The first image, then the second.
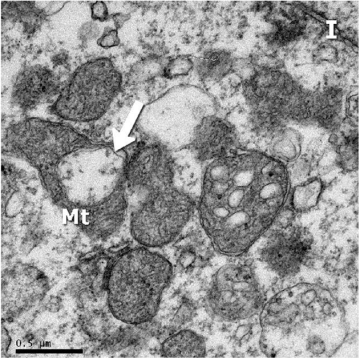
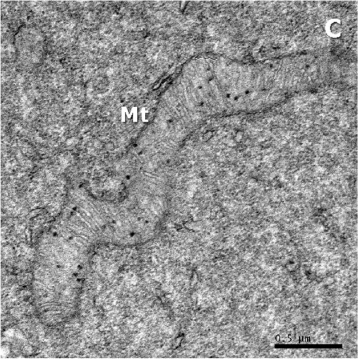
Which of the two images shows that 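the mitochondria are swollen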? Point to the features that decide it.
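First image: mitochondria are rounded and bloated, with pale, clear, vacuole-like spaces inside. Second image: an elongated mitochondrion has tightly packed parallel cristae and a dense matrix. On this evidence: the first image.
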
